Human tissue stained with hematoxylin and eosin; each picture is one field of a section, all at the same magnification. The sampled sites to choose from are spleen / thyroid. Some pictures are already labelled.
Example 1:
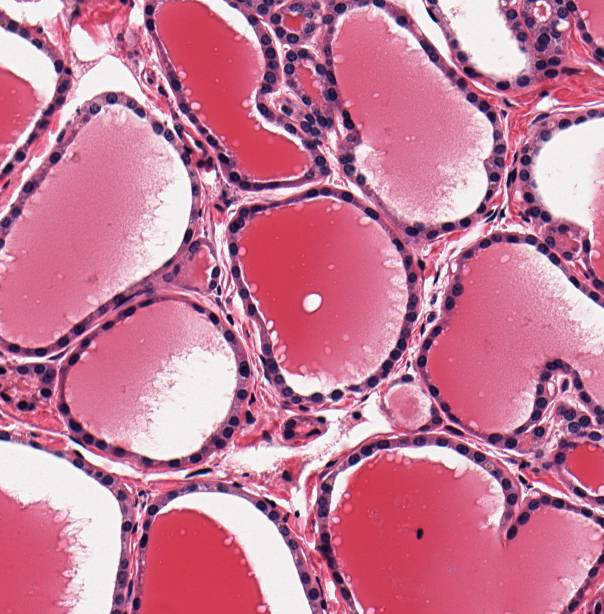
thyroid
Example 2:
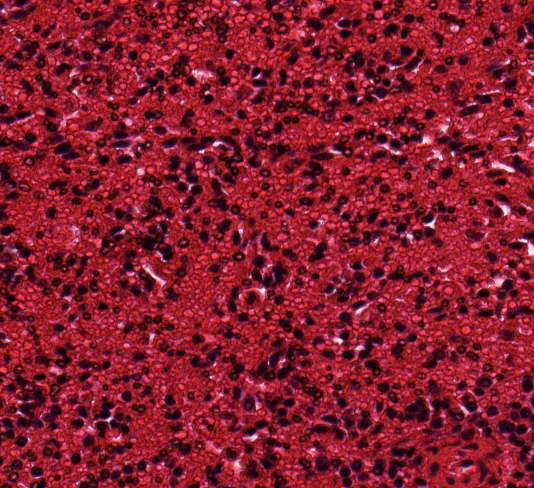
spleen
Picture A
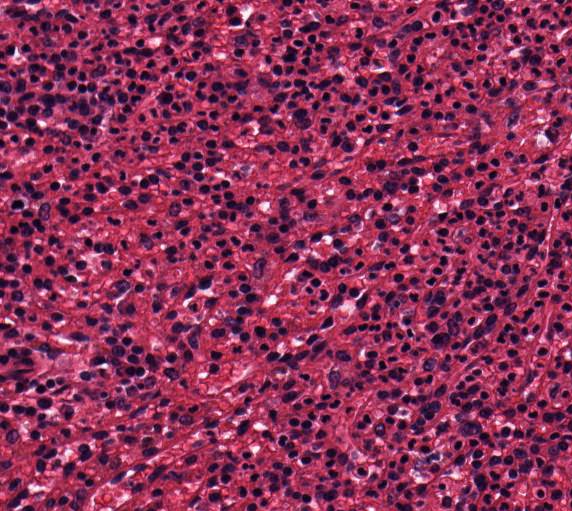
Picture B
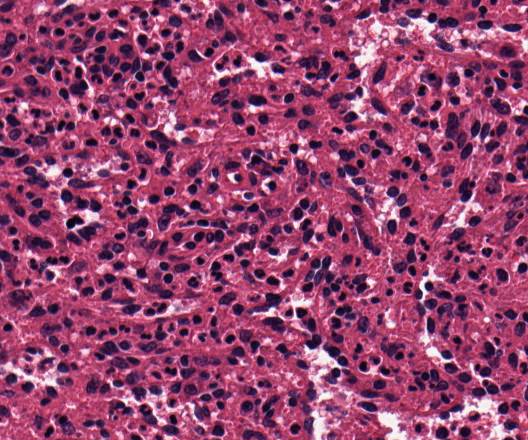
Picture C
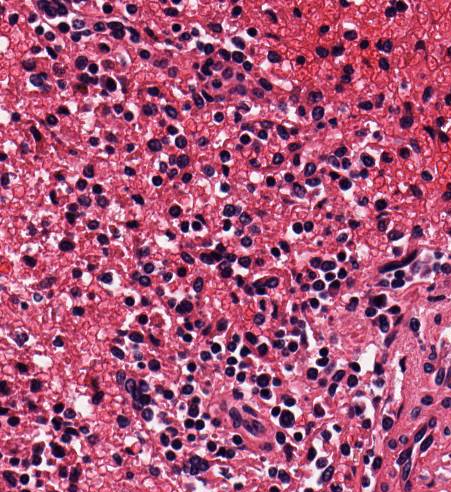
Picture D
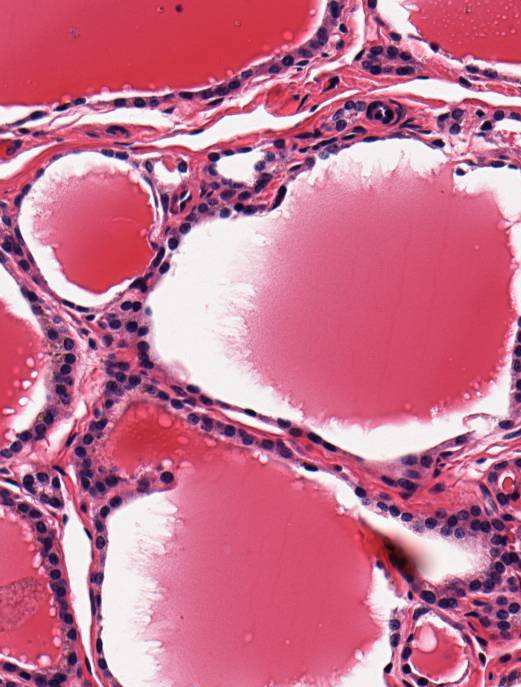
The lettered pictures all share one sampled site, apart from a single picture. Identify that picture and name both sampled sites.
D differs and shows thyroid; the others show spleen.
